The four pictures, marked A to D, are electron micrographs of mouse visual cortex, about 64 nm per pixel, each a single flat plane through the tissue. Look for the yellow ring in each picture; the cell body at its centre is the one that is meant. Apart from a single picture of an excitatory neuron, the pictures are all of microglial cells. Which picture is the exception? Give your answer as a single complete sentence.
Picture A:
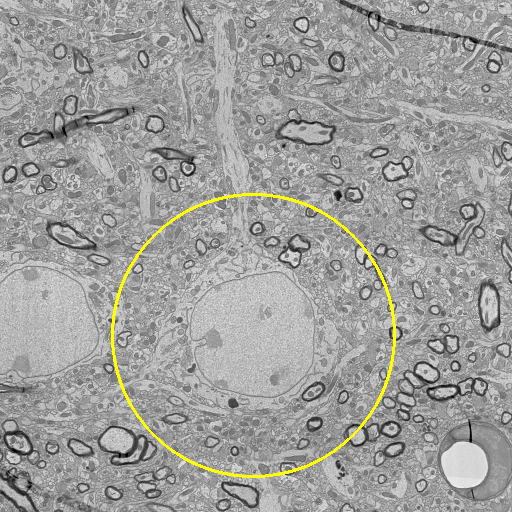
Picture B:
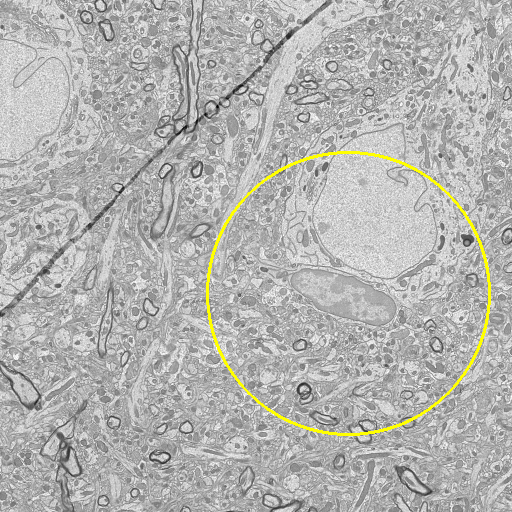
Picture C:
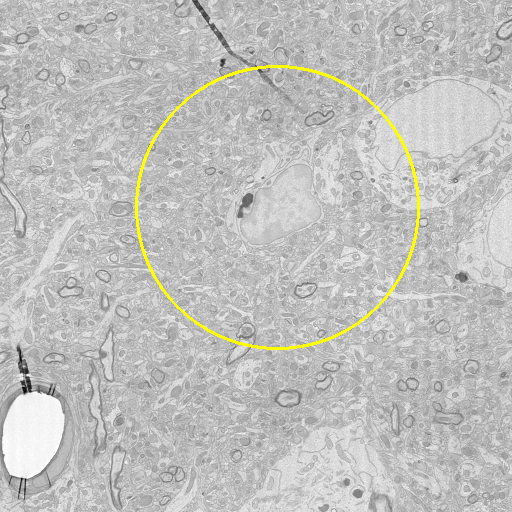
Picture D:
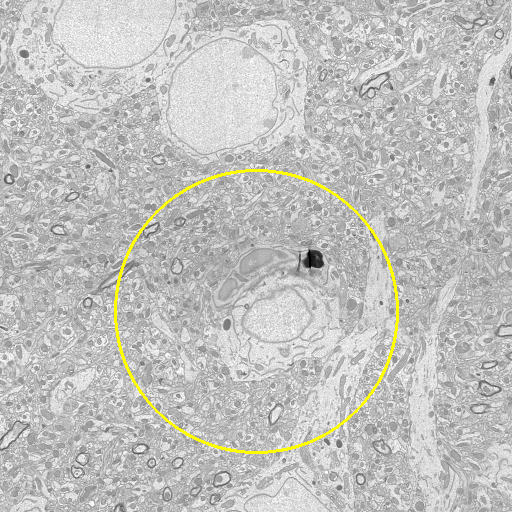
The excitatory neuron is the one in picture A.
